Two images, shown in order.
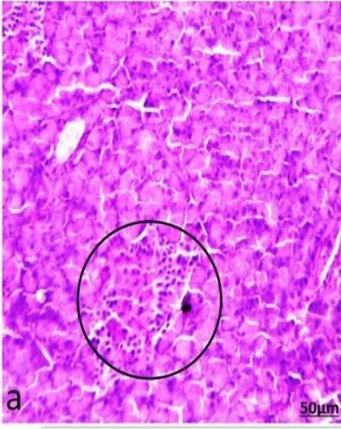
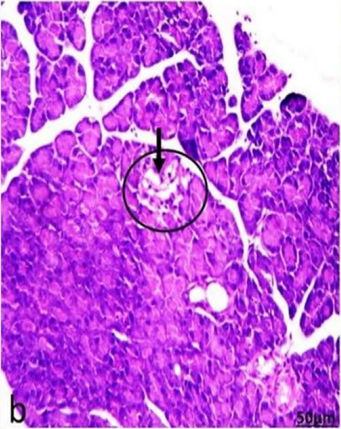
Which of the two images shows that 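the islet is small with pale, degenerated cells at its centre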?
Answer: the second image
